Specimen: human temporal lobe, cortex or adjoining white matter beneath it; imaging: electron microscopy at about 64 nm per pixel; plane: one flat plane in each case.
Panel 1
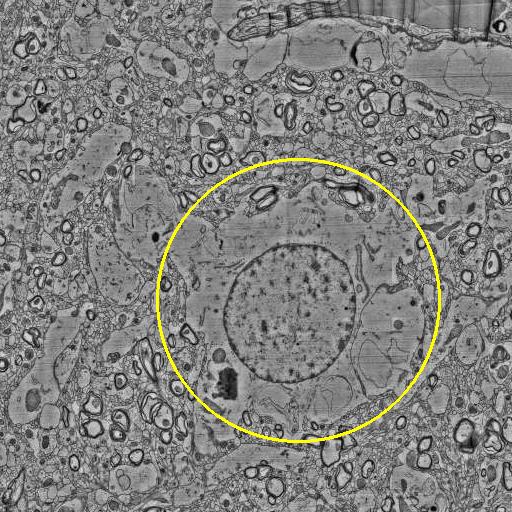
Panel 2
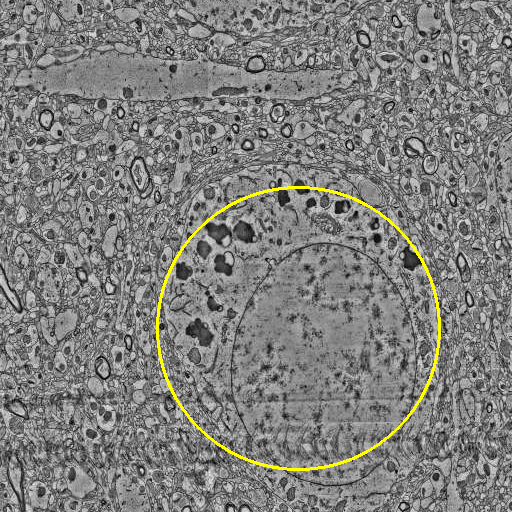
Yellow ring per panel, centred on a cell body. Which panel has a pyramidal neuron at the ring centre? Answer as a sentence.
Panel 2 shows it at the ring centre.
